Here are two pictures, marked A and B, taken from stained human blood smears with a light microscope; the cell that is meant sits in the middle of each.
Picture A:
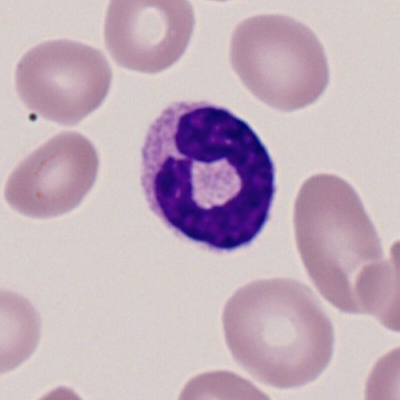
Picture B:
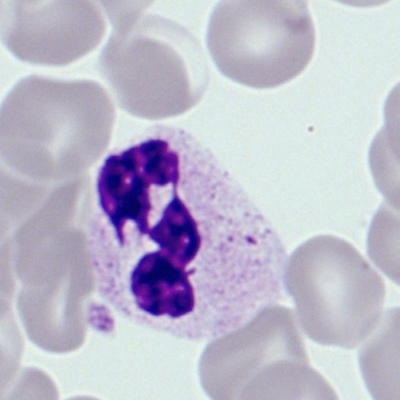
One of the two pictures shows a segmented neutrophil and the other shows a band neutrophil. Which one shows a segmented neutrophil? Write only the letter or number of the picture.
B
